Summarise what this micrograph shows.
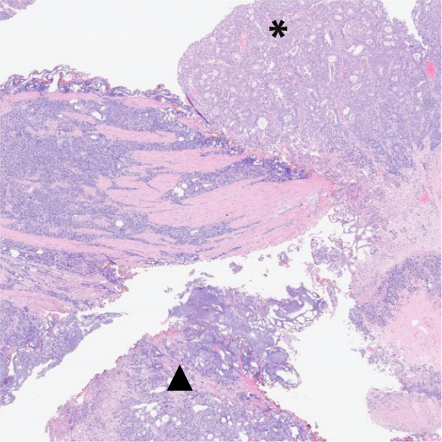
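At low power, two tumour growth patterns lie side by side. In the upper right, a rounded nodule of purple tumour is riddled with many small open gland-like spaces lined by tumour cells, a glandular pattern. On the left, broad pink bundles of stroma run through the tissue with tumour cells spreading between them.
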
